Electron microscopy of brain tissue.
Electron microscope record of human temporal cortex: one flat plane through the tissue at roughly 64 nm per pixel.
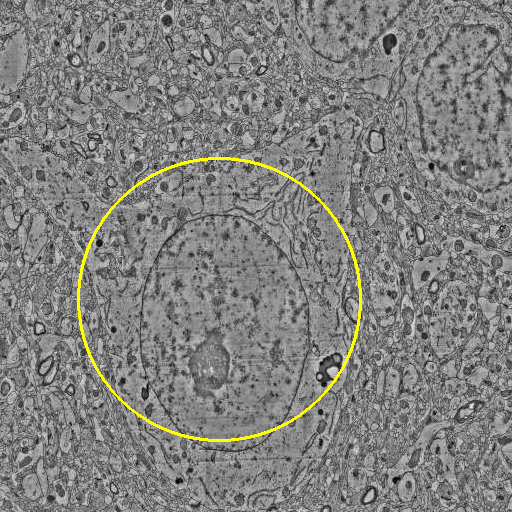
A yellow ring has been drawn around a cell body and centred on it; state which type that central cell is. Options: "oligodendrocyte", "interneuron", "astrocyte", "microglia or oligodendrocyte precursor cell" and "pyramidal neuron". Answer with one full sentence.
The cell at the middle of the yellow ring is a pyramidal neuron in this picture.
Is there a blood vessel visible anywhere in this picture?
No, no blood vessel shows in the picture.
